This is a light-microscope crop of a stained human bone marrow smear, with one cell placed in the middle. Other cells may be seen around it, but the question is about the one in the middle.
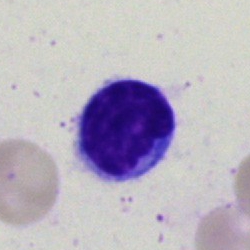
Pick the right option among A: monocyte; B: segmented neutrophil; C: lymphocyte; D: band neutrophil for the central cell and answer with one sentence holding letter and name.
The correct response is option C, naming the cell in the middle as a lymphocyte.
